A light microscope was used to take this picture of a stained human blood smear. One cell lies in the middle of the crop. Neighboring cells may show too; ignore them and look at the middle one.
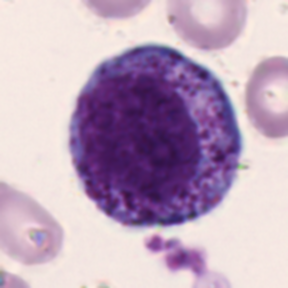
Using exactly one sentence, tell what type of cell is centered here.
The centrally placed cell is classified as a promyelocyte.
